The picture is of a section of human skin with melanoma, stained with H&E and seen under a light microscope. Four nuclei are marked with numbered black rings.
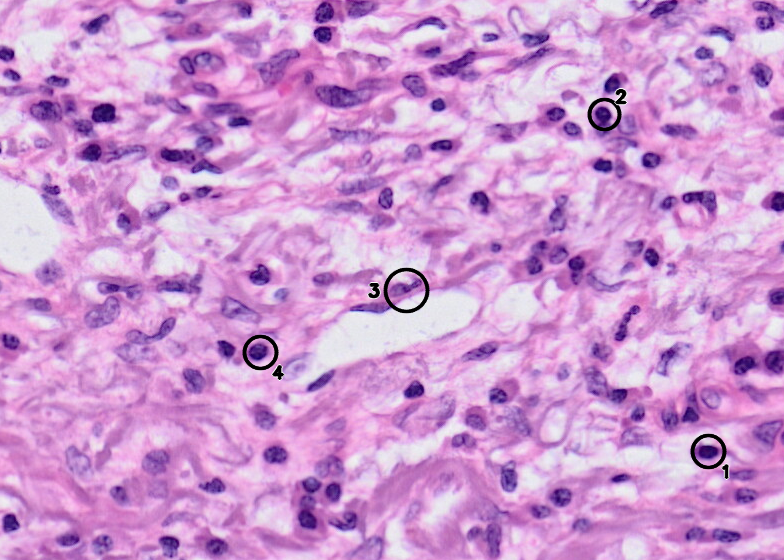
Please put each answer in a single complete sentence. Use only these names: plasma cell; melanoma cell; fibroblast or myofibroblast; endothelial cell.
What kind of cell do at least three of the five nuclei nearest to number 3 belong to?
The majority of the five nuclei closest to number 3 belong to endothelial cells.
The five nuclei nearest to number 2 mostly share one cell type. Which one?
Plasma cells account for more than half of the five nuclei nearest to number 2.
